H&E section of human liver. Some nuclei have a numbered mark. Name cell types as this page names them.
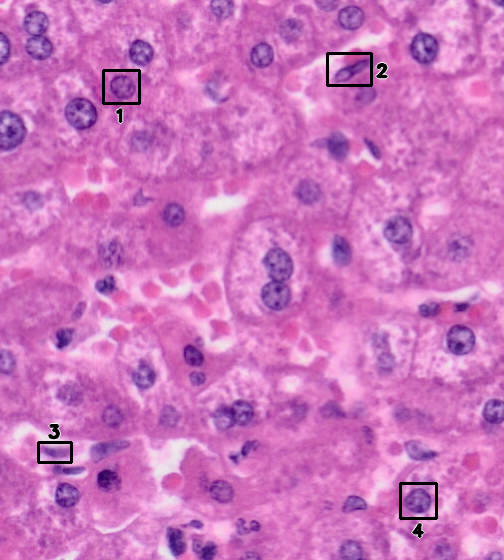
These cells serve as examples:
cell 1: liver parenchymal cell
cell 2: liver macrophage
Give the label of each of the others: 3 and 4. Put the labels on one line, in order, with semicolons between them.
liver macrophage; liver parenchymal cell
